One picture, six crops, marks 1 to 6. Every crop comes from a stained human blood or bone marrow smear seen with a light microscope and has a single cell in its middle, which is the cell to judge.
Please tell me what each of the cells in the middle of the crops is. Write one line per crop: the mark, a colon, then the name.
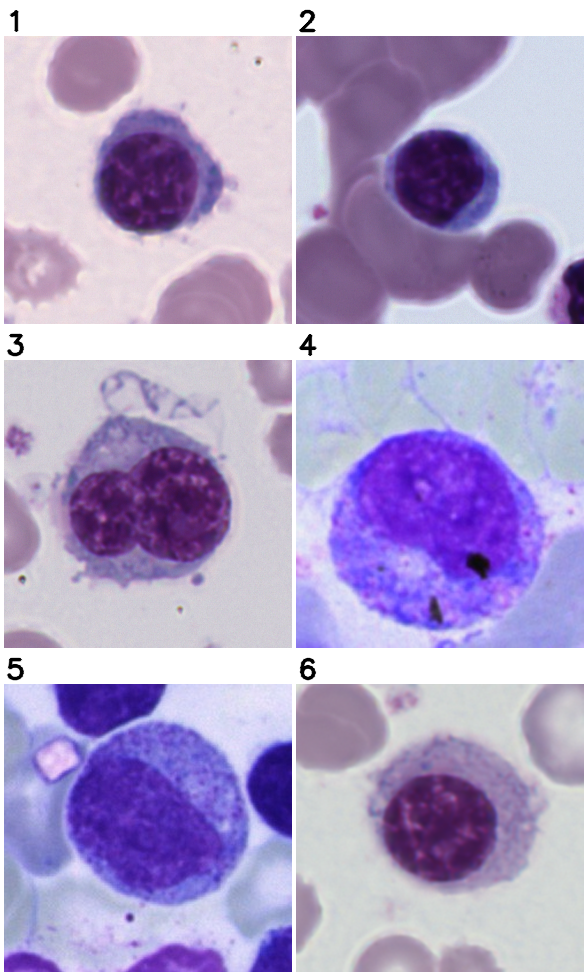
1: plasma cell
2: plasma cell
3: plasma cell
4: promyelocyte
5: promyelocyte
6: plasma cell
